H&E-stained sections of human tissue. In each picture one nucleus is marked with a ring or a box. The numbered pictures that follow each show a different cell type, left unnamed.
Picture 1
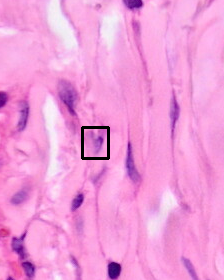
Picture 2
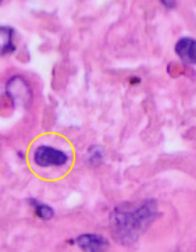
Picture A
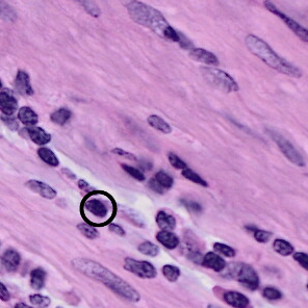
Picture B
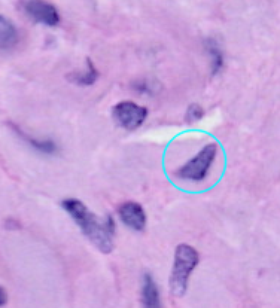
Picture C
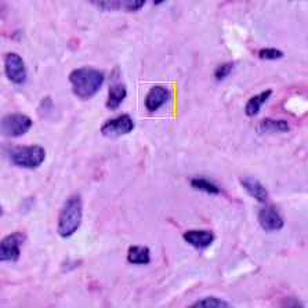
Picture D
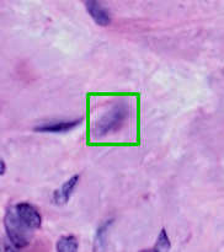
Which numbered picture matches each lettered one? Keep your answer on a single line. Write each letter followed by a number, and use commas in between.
A 2, B 1, C 1, D 1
